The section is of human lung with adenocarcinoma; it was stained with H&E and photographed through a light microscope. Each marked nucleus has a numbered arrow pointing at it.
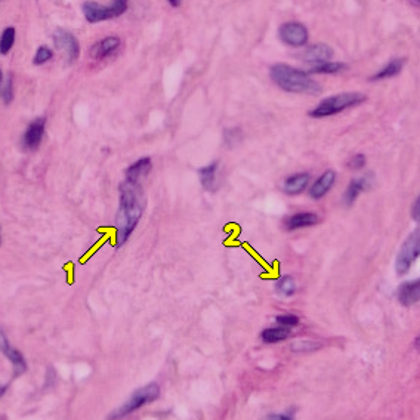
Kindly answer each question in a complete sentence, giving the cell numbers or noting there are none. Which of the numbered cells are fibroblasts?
Cell 1 is a fibroblast, while every other numbered cell is not.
